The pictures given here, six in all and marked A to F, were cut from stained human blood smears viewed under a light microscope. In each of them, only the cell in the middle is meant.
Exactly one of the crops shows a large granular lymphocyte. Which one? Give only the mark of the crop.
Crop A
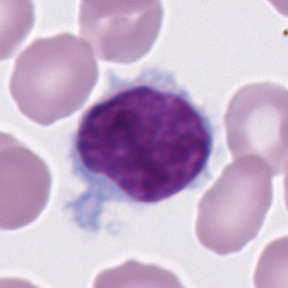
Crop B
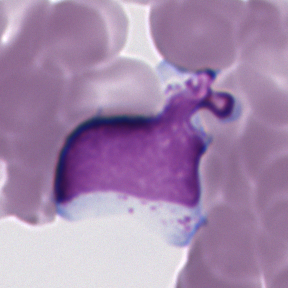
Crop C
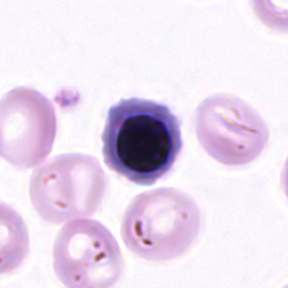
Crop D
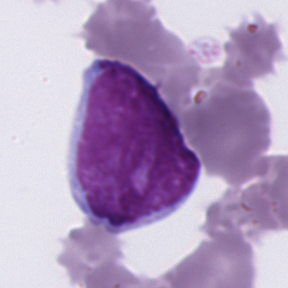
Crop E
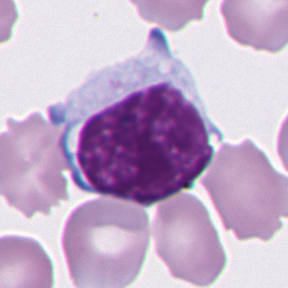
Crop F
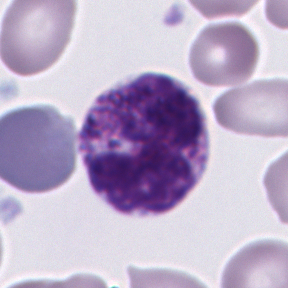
B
